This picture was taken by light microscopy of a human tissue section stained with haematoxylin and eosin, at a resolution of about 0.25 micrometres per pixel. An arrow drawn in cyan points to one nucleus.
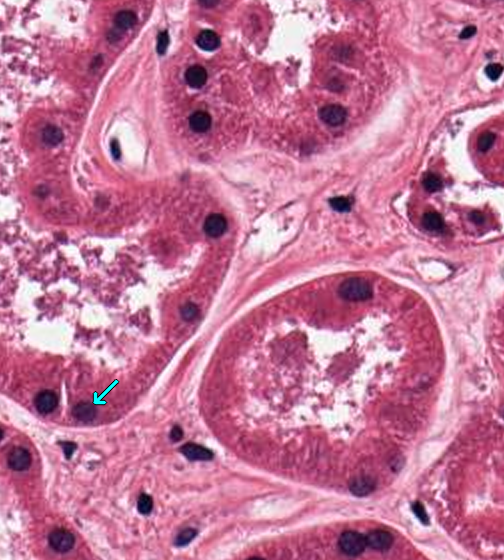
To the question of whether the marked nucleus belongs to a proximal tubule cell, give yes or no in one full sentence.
Yes, the marked nucleus is one that belongs to a proximal tubule cell.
